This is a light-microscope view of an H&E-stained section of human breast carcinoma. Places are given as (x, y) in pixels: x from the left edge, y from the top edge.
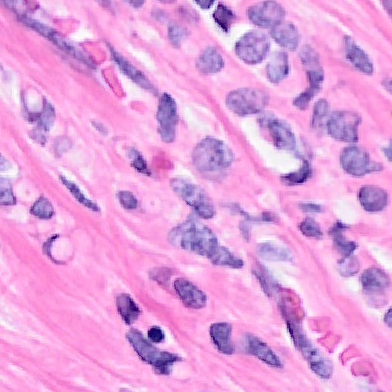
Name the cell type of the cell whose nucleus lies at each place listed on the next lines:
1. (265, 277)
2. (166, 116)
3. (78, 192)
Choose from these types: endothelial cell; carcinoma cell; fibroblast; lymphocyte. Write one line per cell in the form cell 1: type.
cell 1: endothelial cell
cell 2: endothelial cell
cell 3: fibroblast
